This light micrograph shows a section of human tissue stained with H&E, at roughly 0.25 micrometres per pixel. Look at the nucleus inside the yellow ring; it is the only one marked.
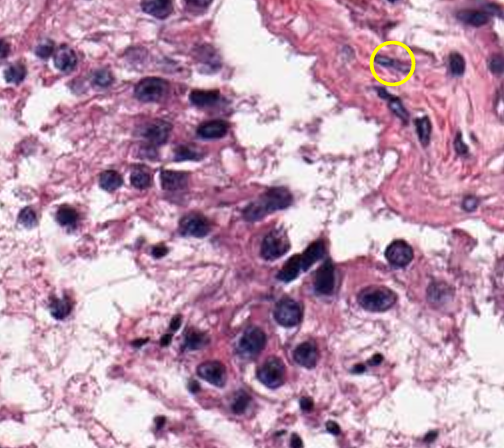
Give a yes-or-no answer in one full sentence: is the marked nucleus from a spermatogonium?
No, the marked nucleus sits in a supporting cell; a spermatogonium does not contain it.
